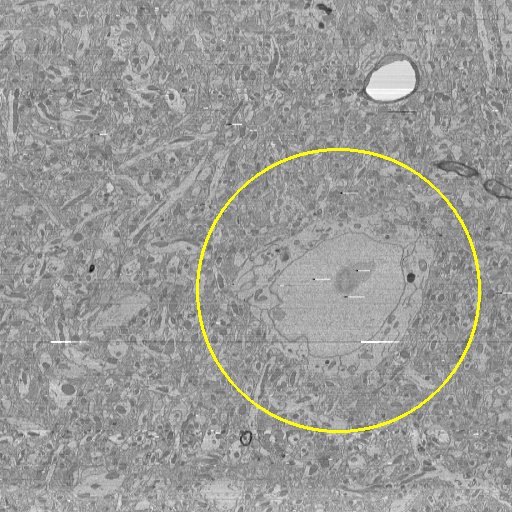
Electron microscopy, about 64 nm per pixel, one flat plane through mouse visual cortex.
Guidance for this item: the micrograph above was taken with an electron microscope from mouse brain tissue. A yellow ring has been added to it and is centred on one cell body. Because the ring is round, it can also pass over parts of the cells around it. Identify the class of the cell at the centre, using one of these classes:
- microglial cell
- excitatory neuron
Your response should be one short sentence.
The ring surrounds the body of an excitatory neuron.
